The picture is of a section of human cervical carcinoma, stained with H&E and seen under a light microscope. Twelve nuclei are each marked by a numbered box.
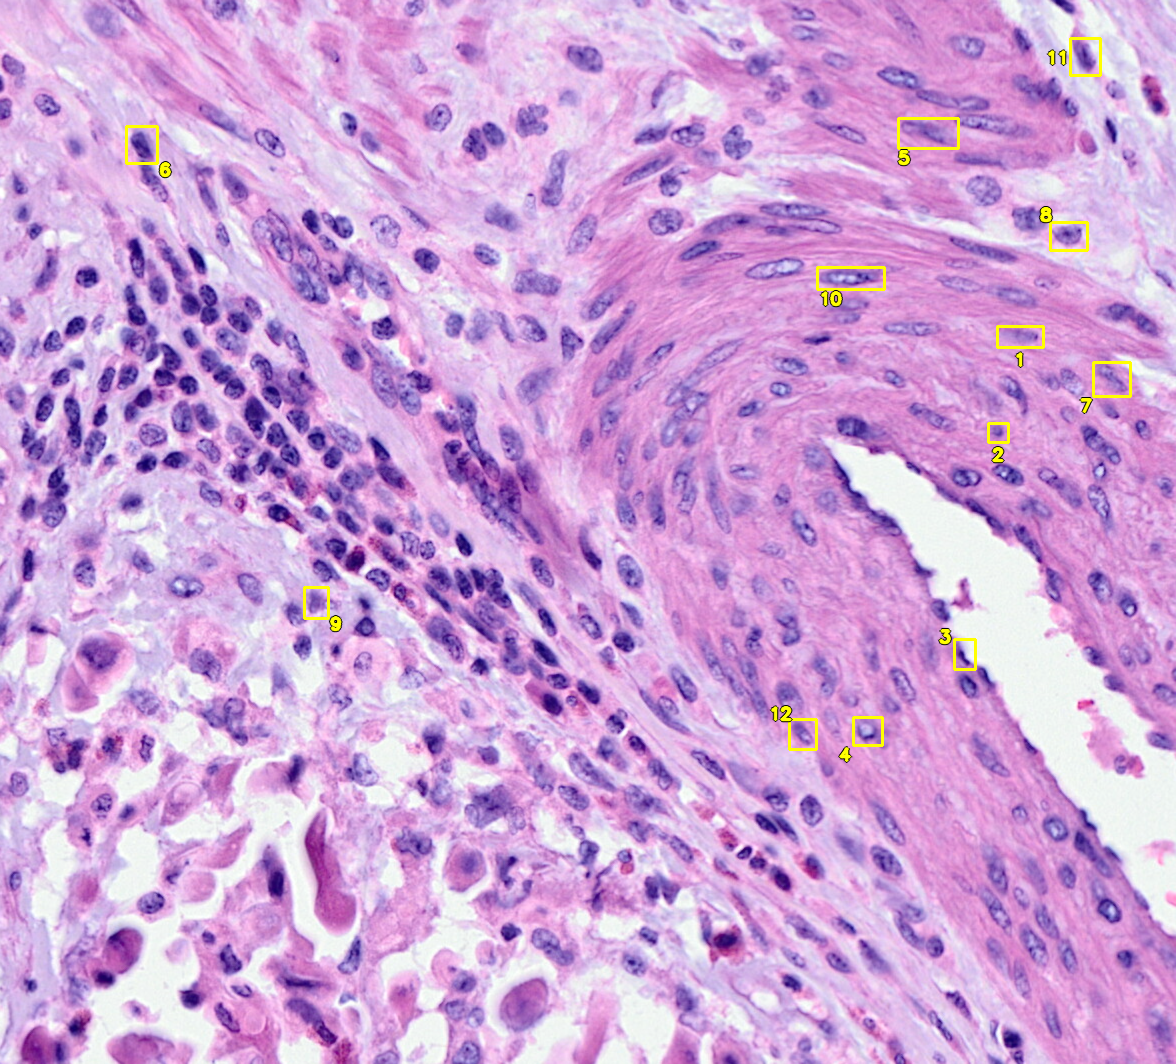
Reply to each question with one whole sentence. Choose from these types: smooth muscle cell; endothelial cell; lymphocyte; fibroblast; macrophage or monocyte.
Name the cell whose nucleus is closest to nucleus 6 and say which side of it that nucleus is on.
Lying below nucleus 6, the nearest nucleus is that of a macrophage or monocyte.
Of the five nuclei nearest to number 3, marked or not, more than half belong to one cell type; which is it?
Most of the five nuclei nearest to number 3 are those of smooth muscle cells.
